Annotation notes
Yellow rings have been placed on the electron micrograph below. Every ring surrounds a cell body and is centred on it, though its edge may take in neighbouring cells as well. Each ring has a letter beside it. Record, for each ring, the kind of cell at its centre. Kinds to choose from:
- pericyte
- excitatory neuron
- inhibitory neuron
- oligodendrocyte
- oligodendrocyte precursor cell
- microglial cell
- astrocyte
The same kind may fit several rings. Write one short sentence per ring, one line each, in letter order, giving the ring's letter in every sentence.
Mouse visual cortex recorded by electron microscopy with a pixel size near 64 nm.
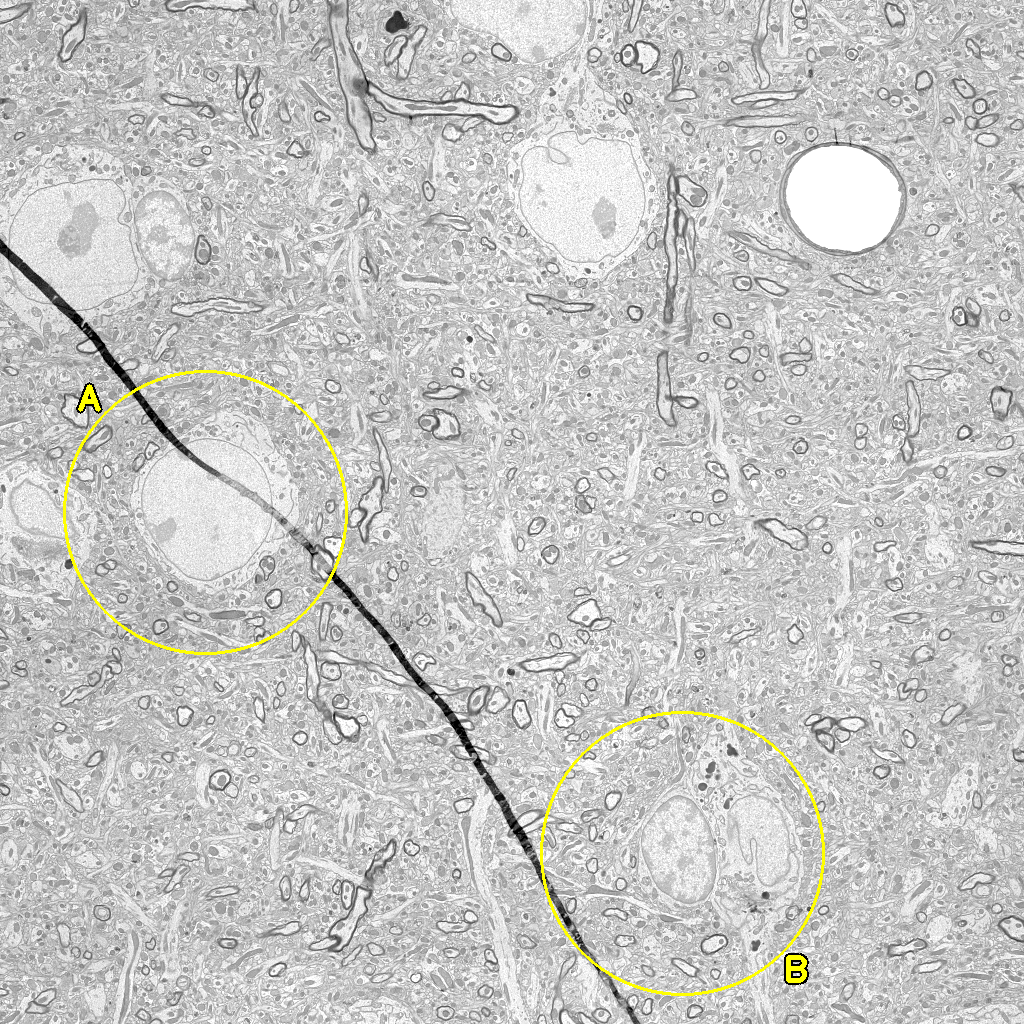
Ring A surrounds an excitatory neuron.
Ring B surrounds an oligodendrocyte.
